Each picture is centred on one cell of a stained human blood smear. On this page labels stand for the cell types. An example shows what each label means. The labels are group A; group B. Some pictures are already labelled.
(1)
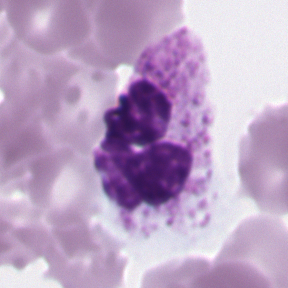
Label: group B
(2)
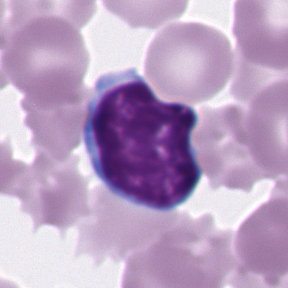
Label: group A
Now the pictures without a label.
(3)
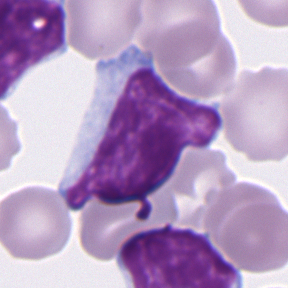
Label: group A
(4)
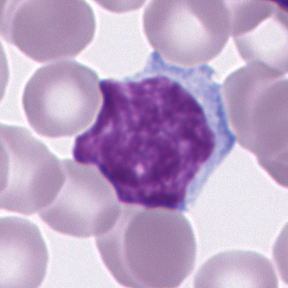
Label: group A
